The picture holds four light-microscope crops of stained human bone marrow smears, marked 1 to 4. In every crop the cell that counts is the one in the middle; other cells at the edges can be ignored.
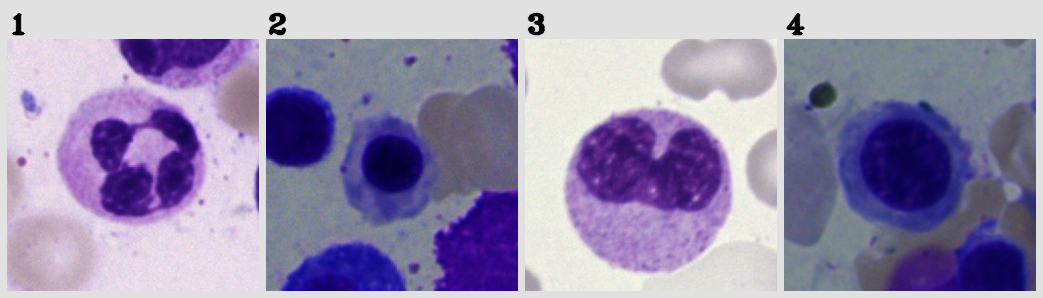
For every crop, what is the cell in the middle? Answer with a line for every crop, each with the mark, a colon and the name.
1: segmented neutrophil
2: normoblast
3: band neutrophil
4: normoblast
